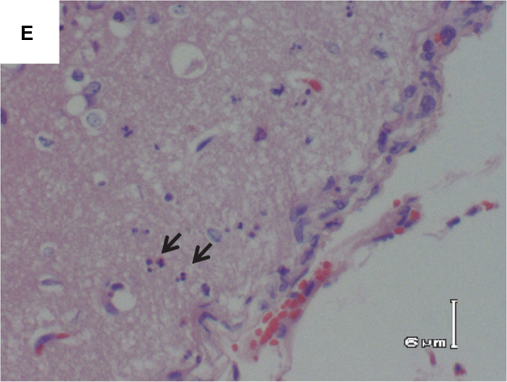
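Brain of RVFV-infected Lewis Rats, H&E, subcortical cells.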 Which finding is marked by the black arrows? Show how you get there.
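The arrowed cells show small, dense, dark purple nuclear fragments. The fragments lie in clusters in the pale neuropil.
Answer: apoptosis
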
